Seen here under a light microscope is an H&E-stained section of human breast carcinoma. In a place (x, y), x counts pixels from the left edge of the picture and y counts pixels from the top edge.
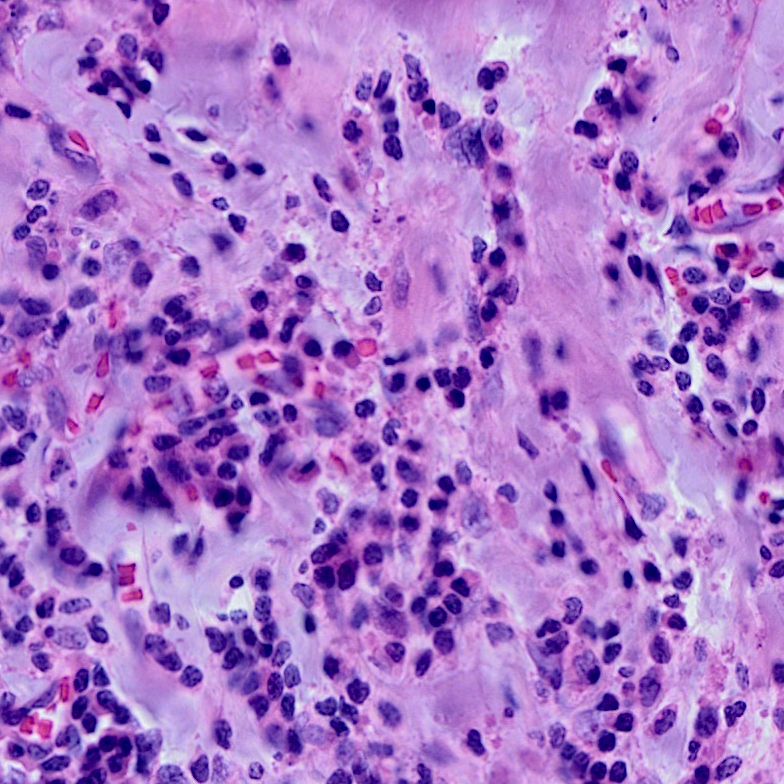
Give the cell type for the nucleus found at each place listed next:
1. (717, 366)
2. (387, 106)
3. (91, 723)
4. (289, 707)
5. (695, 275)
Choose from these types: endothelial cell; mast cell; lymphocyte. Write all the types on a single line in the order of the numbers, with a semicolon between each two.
mast cell; lymphocyte; lymphocyte; lymphocyte; mast cell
